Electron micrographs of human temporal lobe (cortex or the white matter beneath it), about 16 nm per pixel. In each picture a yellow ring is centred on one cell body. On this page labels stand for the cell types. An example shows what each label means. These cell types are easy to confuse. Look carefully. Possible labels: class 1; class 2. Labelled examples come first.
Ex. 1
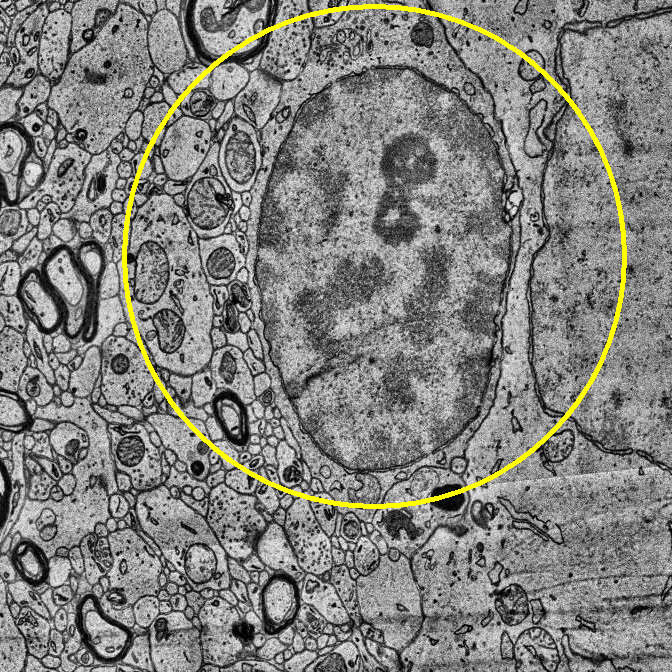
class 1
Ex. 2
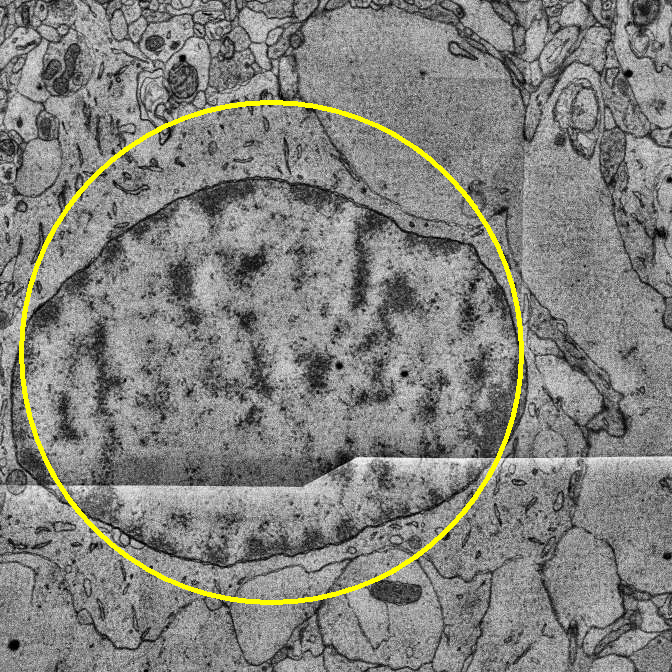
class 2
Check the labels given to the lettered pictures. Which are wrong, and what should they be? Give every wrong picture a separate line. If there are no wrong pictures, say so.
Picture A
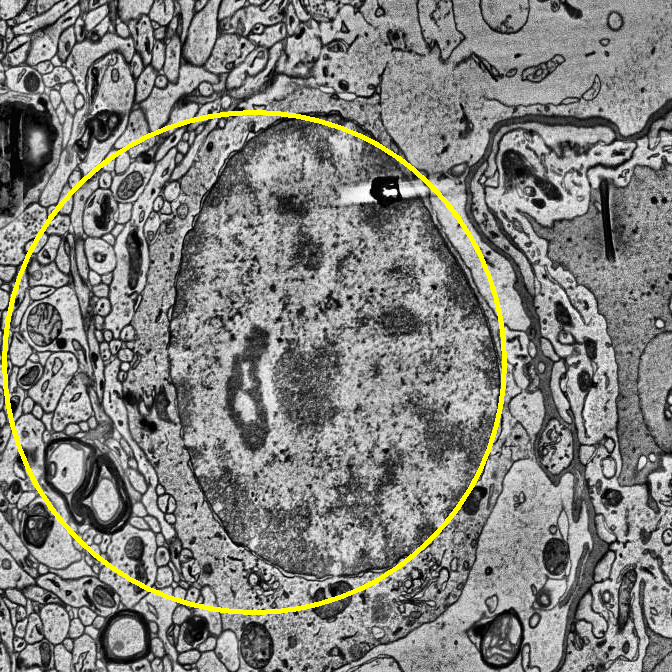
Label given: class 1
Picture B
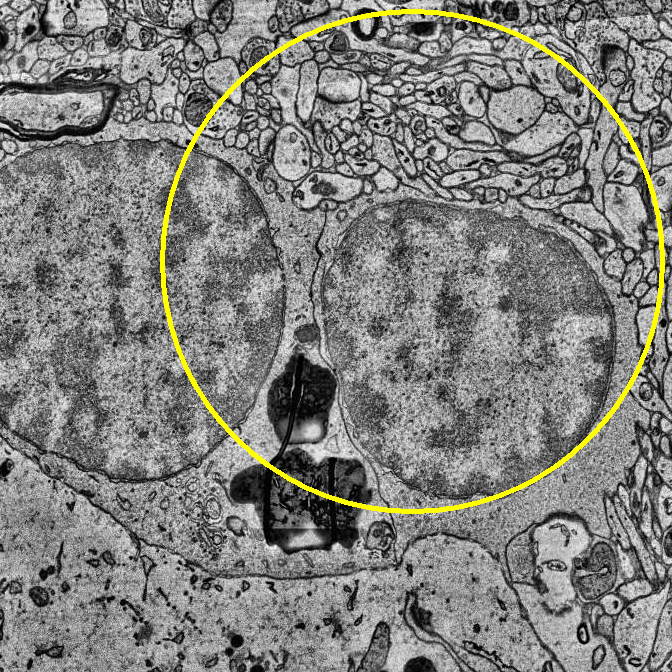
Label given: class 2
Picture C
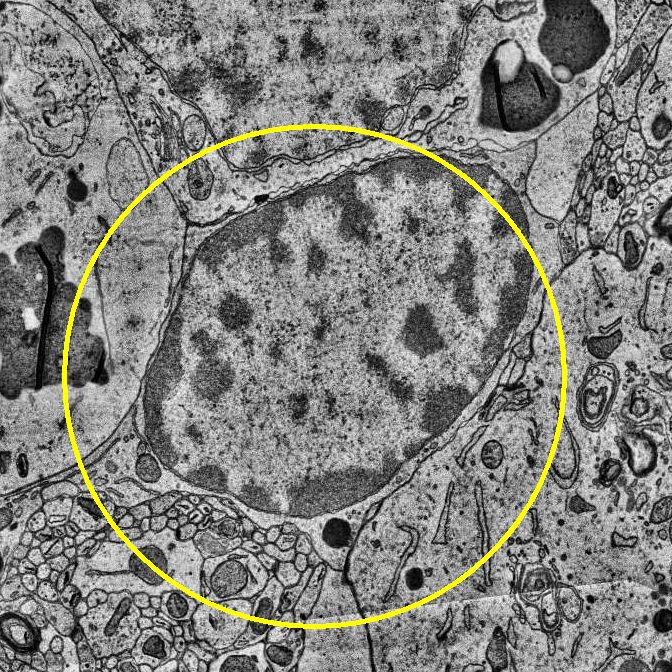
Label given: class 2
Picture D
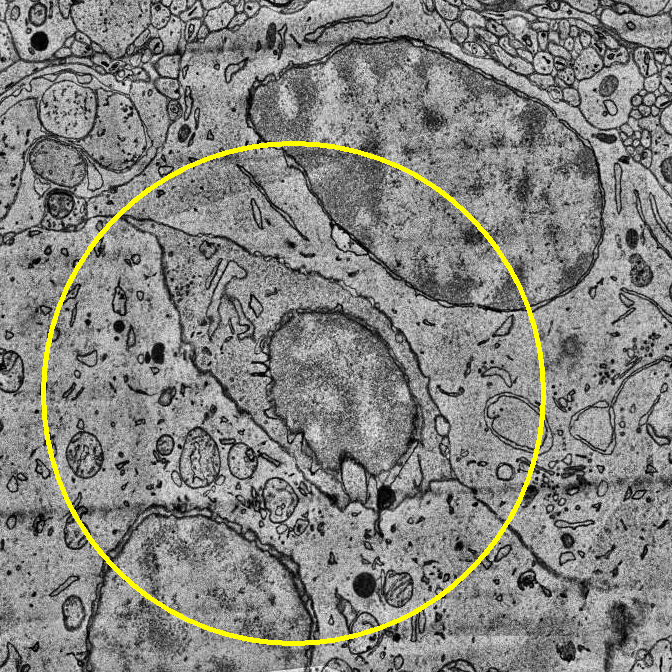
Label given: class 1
B is labelled class 2; correct label: class 1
